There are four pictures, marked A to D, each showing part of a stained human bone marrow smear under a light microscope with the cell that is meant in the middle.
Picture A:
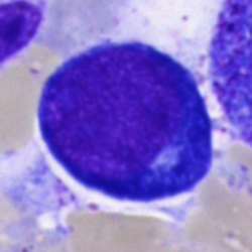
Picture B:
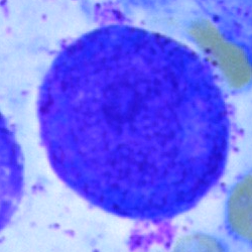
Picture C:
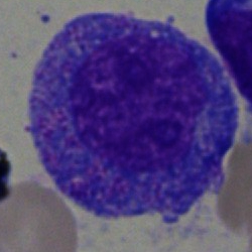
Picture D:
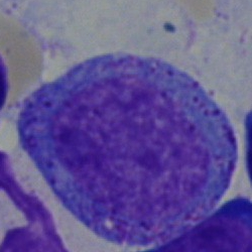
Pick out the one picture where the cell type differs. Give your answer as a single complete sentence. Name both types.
All pictures except A show promyelocytes; picture A shows a proerythroblast.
